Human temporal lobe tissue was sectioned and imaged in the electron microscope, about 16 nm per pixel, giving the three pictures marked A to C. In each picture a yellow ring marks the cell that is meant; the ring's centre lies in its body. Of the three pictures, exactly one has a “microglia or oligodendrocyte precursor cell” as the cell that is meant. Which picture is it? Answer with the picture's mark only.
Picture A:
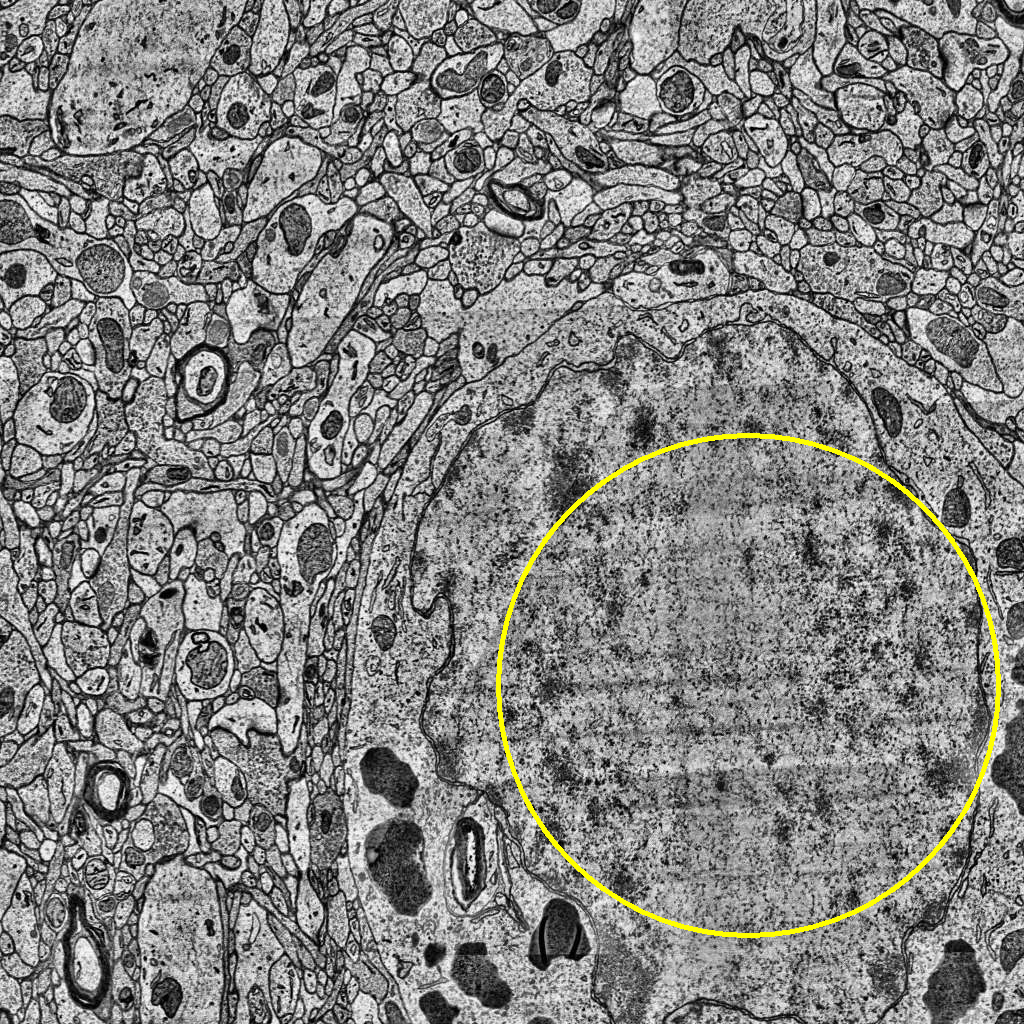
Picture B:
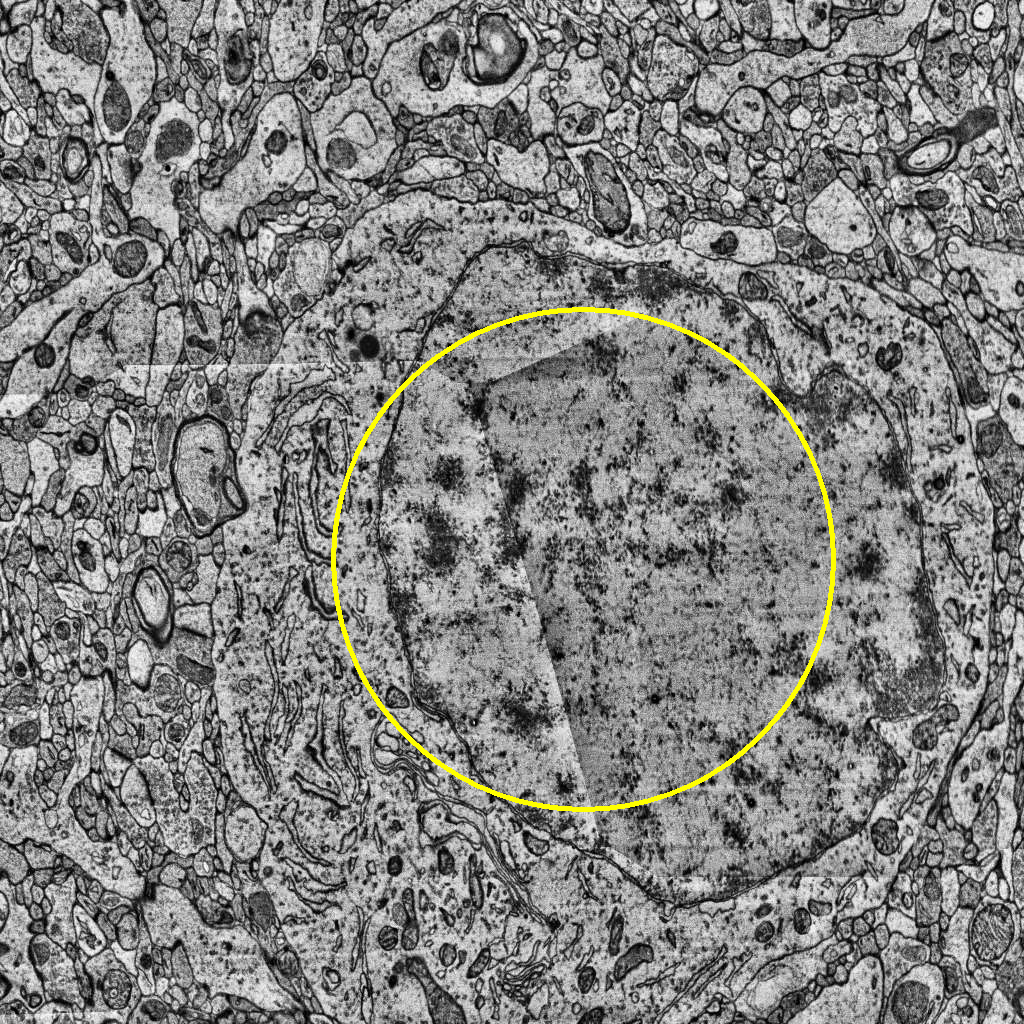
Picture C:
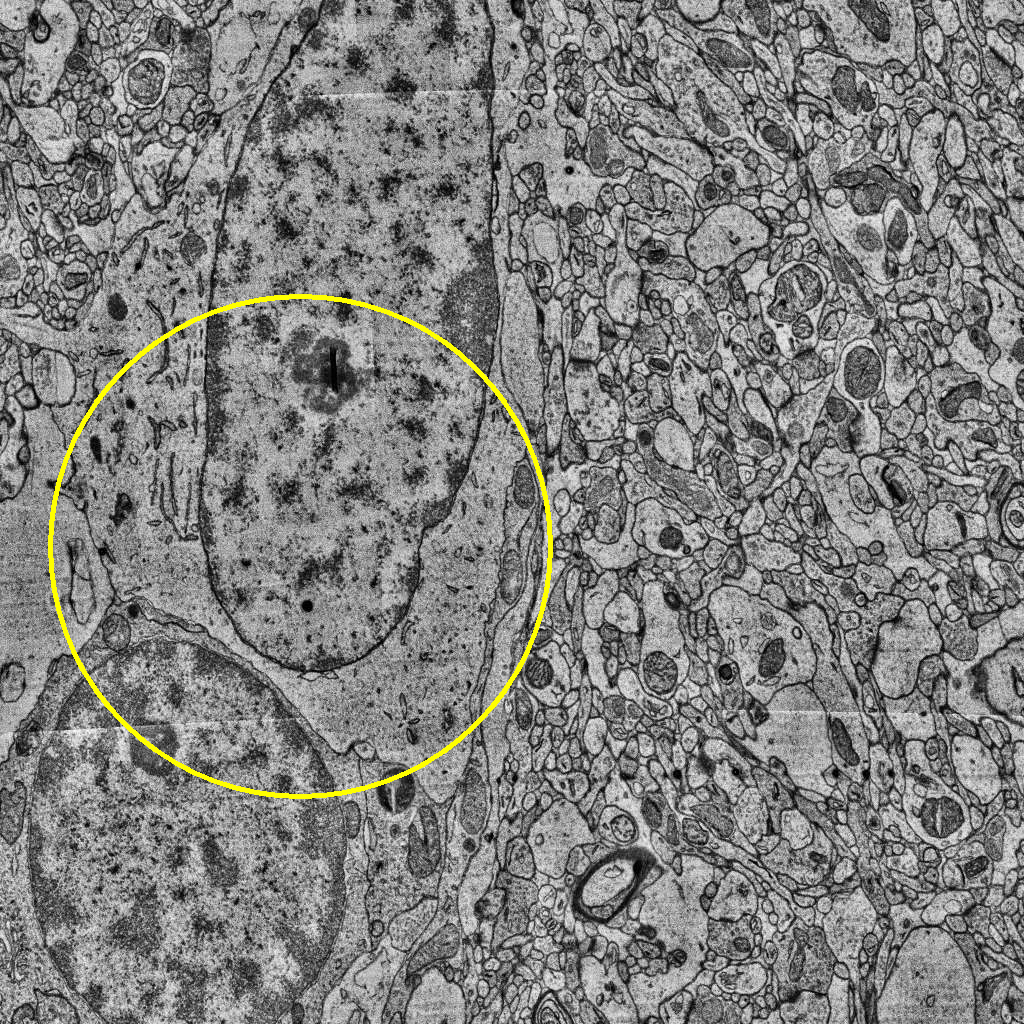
C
